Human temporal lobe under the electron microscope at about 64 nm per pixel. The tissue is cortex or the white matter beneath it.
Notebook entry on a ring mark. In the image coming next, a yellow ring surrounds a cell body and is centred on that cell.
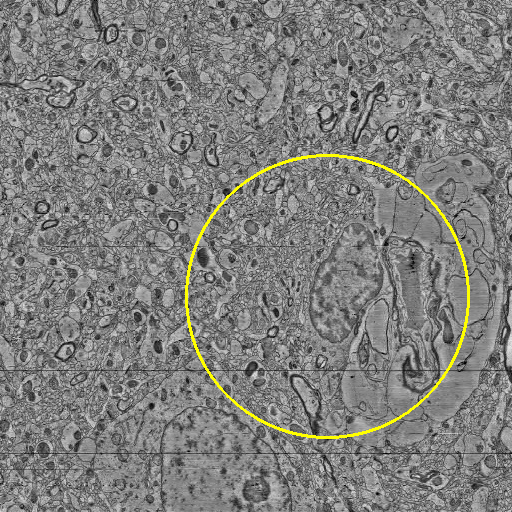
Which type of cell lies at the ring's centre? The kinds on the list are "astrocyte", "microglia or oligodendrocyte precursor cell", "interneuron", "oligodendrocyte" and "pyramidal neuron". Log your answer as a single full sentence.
Centred in the yellow ring is an oligodendrocyte, the cell recorded for this image.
